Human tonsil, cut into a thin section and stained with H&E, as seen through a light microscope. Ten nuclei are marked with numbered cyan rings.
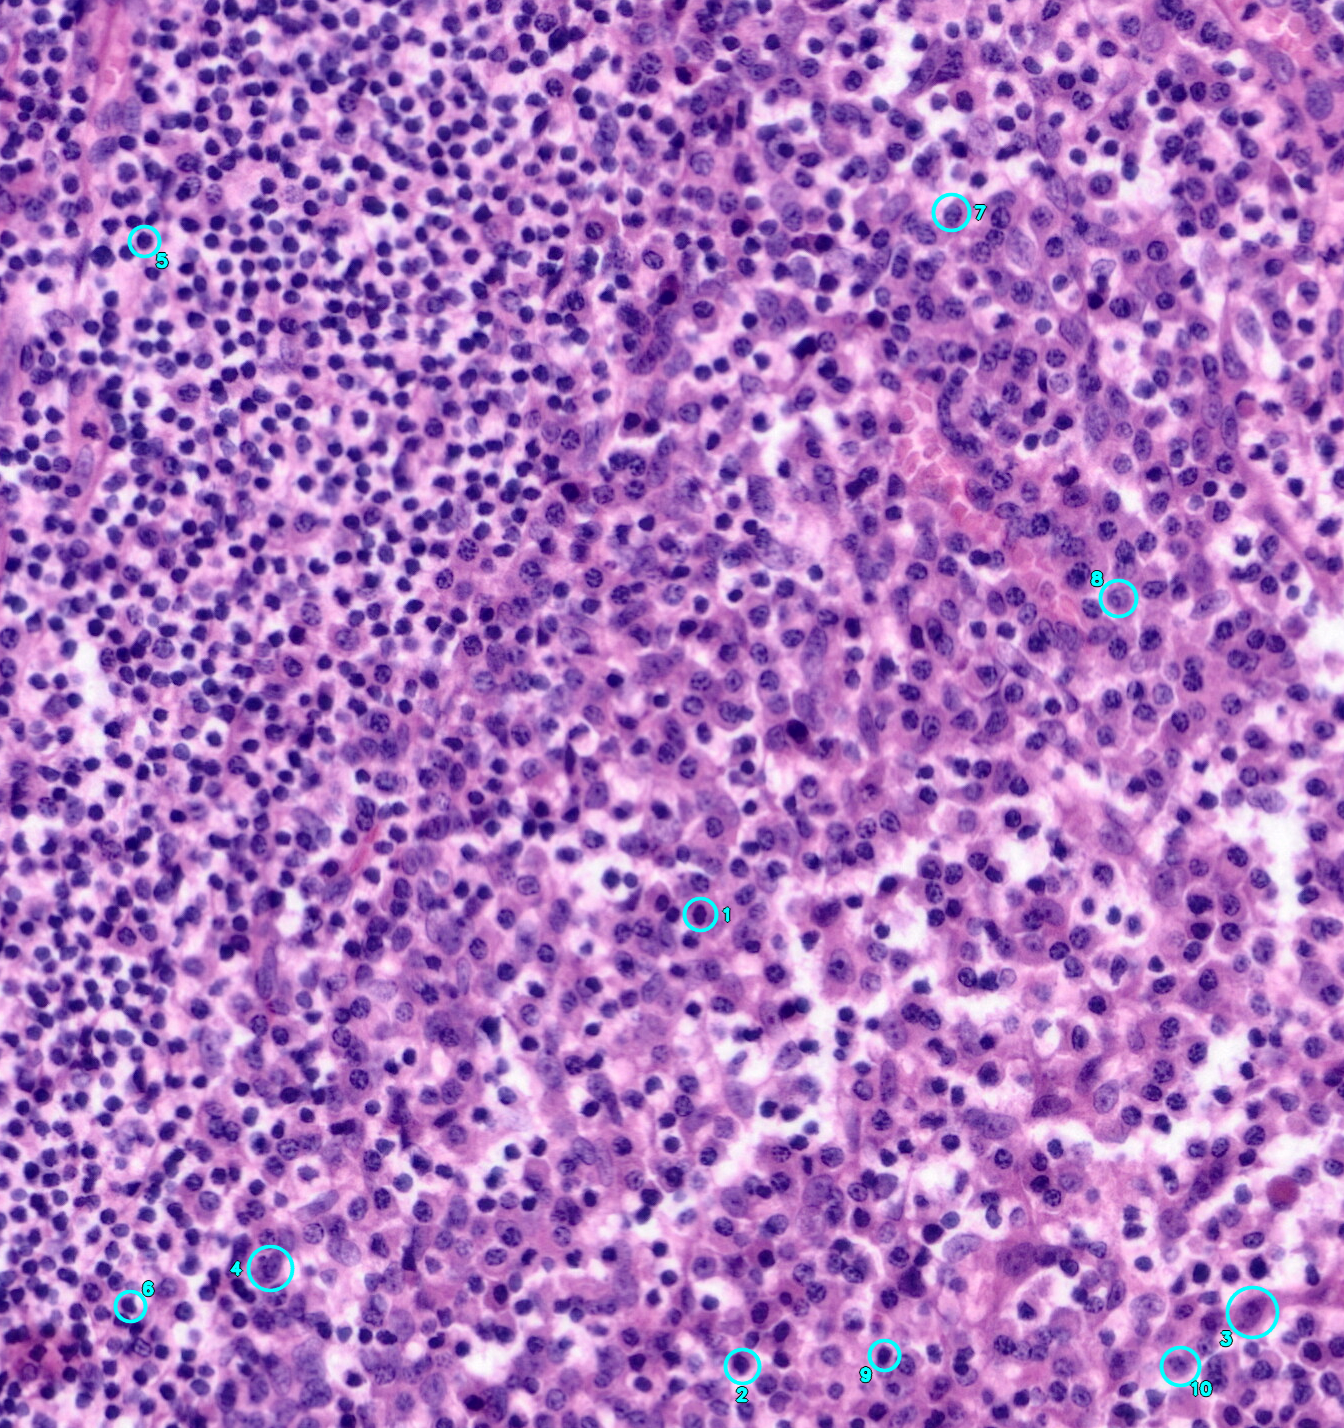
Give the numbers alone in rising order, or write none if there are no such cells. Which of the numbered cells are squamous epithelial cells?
3, 4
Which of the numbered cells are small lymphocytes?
5, 6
